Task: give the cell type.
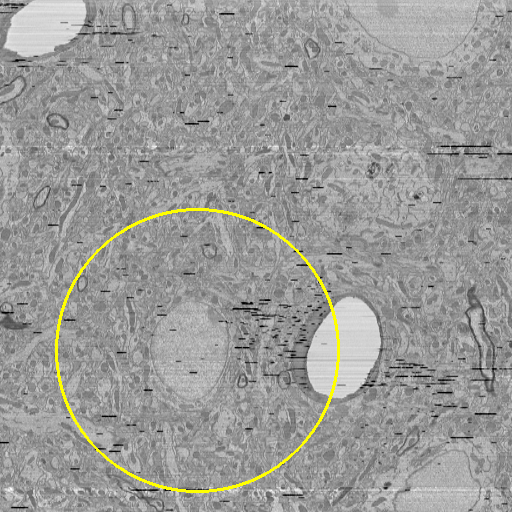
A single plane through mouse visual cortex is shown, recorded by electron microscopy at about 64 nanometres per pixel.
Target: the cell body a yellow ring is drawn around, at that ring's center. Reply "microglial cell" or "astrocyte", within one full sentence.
In this picture, the cell whose body lies at the ring's center is an astrocyte.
